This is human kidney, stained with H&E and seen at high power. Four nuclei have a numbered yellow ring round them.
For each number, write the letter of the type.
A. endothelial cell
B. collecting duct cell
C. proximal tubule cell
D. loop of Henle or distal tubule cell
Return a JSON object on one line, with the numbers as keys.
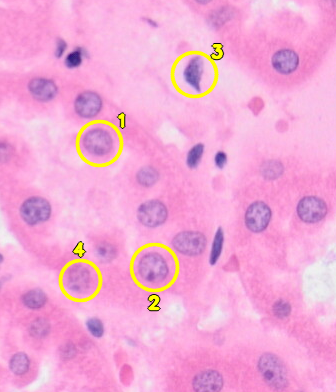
{"1": "C", "2": "C", "3": "A", "4": "C"}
